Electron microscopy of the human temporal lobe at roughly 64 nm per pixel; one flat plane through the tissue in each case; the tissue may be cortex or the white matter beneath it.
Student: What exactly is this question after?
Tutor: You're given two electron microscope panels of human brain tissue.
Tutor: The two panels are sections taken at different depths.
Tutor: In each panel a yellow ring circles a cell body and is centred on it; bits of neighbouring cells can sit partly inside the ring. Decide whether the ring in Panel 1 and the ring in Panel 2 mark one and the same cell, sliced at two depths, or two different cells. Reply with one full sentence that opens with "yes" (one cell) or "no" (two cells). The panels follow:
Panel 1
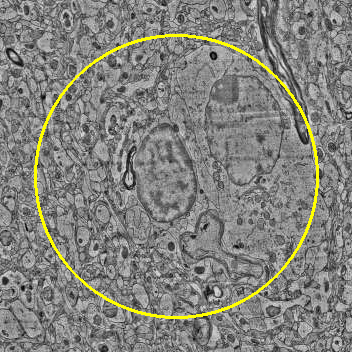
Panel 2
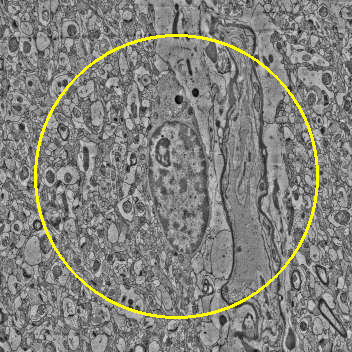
No, the two rings refer to two distinct cells.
